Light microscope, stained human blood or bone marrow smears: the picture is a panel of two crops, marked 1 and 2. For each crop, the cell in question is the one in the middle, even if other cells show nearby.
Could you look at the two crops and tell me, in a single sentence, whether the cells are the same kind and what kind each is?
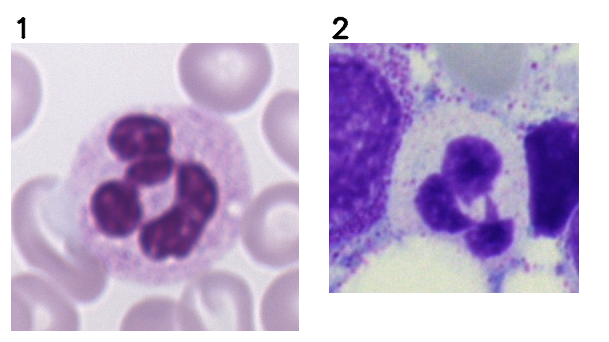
Yes, both crops are centred on cells that are segmented neutrophils.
